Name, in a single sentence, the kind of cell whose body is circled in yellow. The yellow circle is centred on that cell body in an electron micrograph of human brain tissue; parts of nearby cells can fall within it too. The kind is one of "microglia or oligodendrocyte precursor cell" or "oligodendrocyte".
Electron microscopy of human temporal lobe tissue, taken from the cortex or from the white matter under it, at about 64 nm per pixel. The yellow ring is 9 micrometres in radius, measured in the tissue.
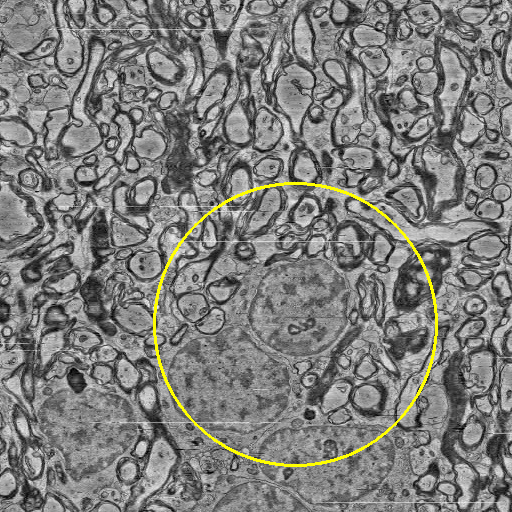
The circled cell body belongs to an oligodendrocyte.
